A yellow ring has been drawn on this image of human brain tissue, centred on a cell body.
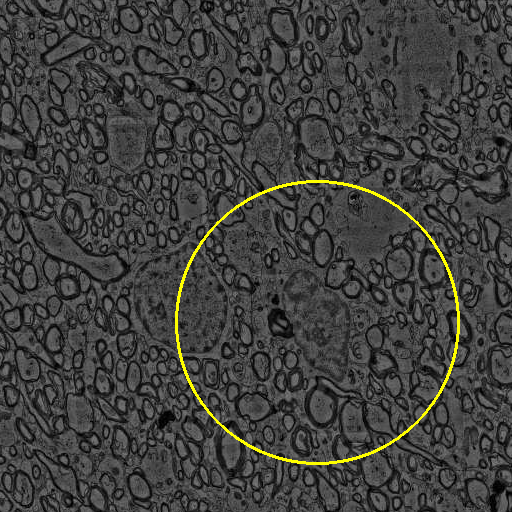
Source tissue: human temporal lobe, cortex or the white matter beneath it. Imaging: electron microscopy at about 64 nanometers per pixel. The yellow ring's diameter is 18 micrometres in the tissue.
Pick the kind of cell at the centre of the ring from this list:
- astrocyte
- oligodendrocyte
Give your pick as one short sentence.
The centre of the ring holds an oligodendrocyte.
